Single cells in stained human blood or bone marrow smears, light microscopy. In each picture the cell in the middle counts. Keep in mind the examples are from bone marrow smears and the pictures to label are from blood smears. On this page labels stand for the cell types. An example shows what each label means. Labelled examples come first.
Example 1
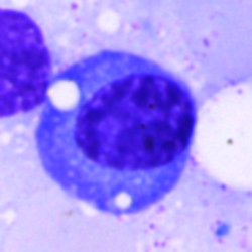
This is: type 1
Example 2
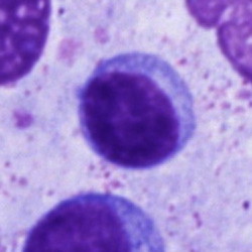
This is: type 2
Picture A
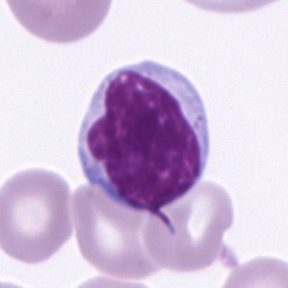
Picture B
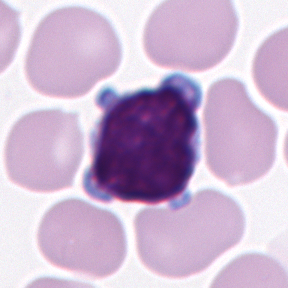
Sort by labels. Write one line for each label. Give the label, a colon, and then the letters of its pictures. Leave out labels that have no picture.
type 2: A, B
